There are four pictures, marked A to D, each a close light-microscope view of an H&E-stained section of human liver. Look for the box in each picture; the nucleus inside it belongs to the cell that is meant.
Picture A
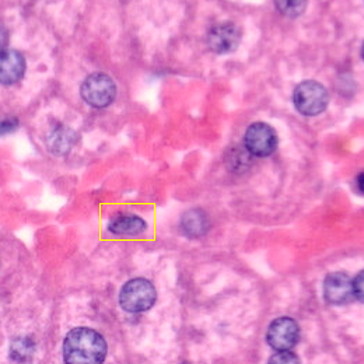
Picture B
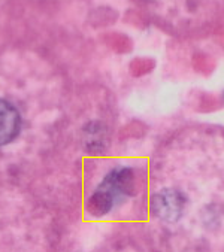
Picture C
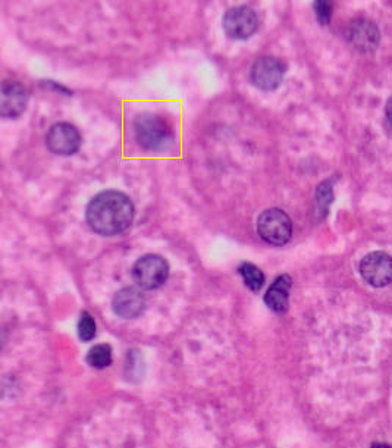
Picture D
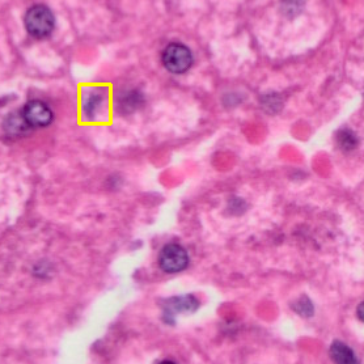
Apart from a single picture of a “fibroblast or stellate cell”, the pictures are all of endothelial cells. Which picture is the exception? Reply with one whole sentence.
Picture D shows the “fibroblast or stellate cell”.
